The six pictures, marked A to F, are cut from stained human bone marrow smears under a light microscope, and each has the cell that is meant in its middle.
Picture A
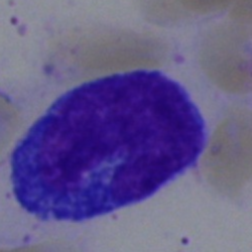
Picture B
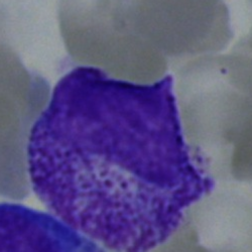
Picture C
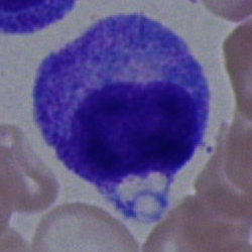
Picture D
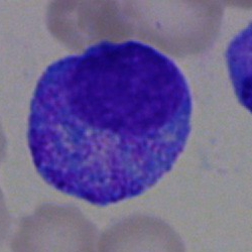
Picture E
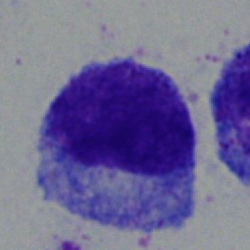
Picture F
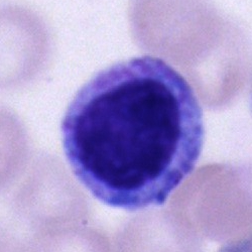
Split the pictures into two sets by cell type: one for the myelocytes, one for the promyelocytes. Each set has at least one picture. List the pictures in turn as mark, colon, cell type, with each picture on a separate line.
A: promyelocyte
B: promyelocyte
C: promyelocyte
D: promyelocyte
E: myelocyte
F: myelocyte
